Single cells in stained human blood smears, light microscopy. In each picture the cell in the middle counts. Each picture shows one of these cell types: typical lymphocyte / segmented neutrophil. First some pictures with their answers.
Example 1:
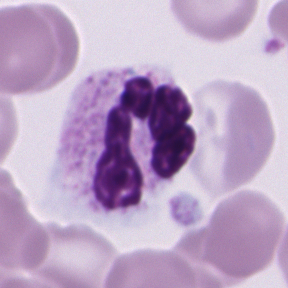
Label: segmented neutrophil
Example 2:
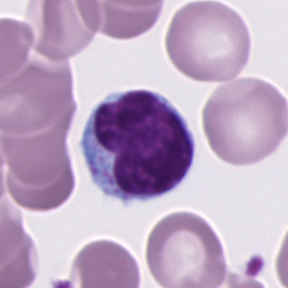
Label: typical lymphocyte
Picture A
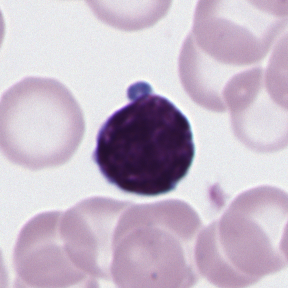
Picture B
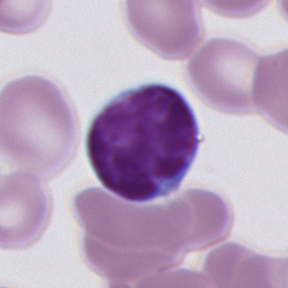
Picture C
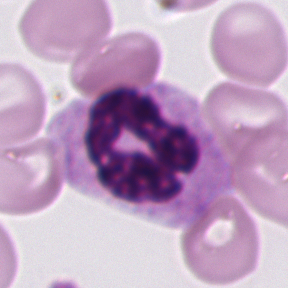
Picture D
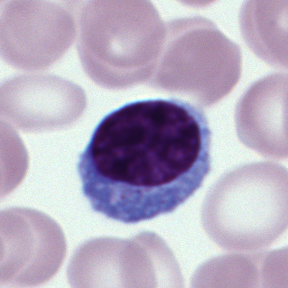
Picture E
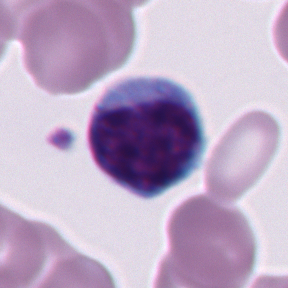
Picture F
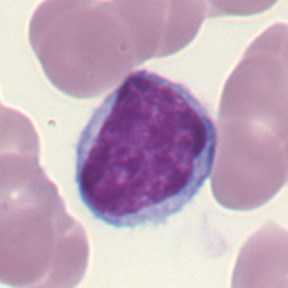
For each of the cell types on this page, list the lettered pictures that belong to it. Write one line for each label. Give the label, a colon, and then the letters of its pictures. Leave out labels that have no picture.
typical lymphocyte: A, B, D, E, F
segmented neutrophil: C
